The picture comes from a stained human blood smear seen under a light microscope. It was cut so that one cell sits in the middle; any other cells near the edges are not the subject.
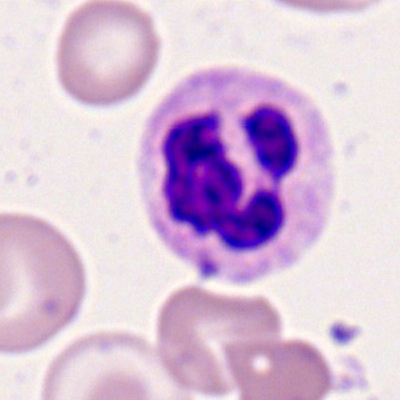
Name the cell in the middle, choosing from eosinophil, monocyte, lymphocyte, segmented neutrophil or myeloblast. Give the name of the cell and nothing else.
segmented neutrophil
